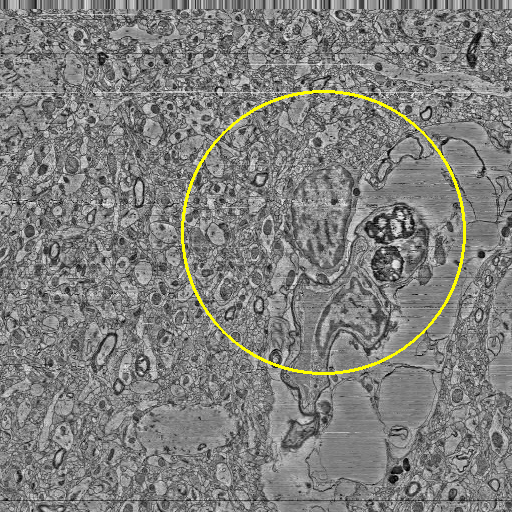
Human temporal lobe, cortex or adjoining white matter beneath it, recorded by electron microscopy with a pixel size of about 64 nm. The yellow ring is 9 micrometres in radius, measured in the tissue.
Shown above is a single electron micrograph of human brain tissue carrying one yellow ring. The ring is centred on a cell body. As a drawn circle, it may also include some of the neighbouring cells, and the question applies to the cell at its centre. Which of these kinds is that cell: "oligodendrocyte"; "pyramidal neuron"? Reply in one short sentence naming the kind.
The cell marked by the ring is an oligodendrocyte.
